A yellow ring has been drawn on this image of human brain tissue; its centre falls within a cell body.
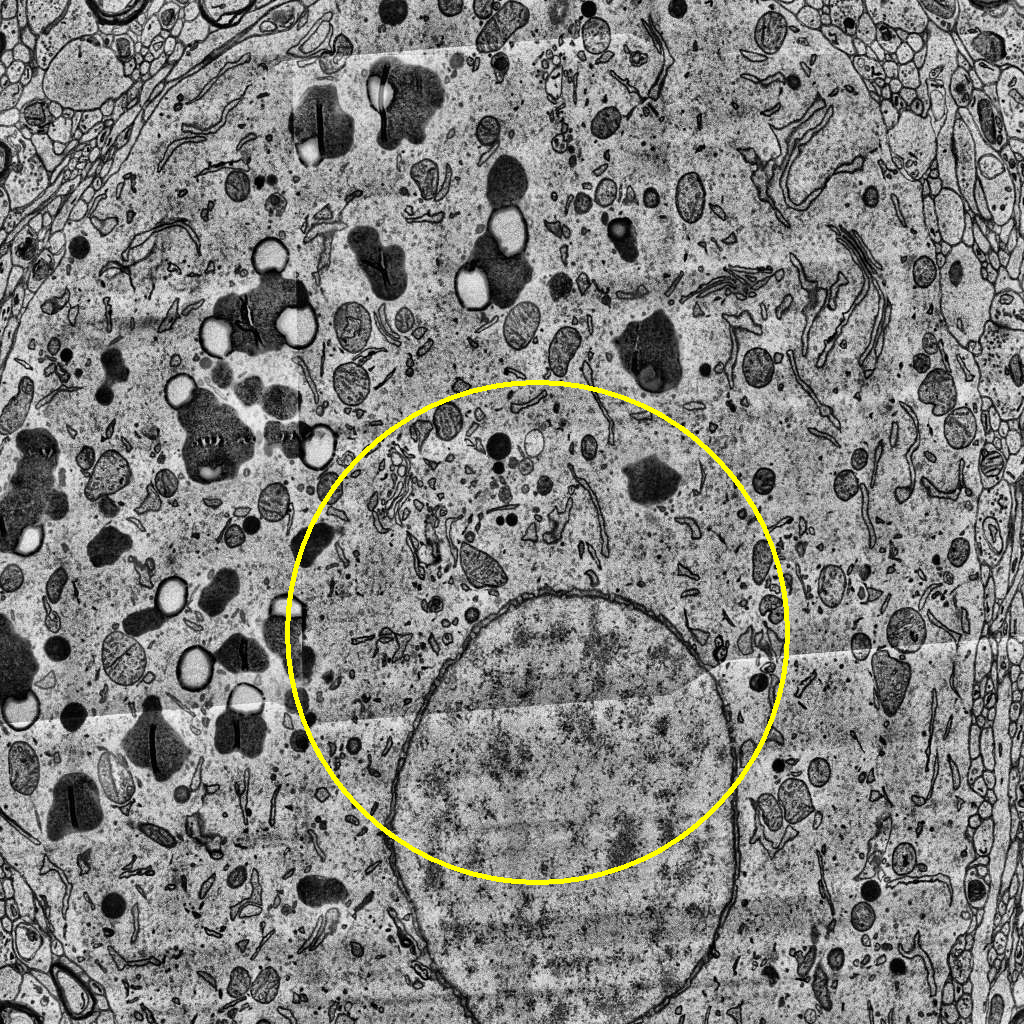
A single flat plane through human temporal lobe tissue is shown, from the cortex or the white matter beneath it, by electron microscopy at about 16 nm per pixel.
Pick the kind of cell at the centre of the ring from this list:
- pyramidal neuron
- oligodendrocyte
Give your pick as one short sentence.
The centre of the ring holds a pyramidal neuron.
